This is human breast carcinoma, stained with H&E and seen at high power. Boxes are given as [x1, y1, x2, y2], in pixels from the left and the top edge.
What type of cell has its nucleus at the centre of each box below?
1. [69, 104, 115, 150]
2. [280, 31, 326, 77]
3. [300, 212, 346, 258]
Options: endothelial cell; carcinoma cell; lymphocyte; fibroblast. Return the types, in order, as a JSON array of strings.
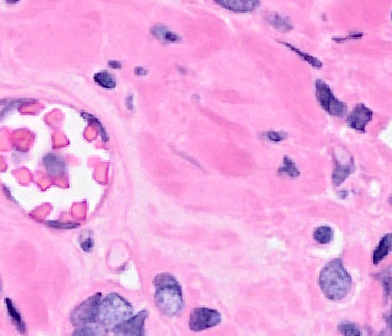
["endothelial cell", "fibroblast", "lymphocyte"]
